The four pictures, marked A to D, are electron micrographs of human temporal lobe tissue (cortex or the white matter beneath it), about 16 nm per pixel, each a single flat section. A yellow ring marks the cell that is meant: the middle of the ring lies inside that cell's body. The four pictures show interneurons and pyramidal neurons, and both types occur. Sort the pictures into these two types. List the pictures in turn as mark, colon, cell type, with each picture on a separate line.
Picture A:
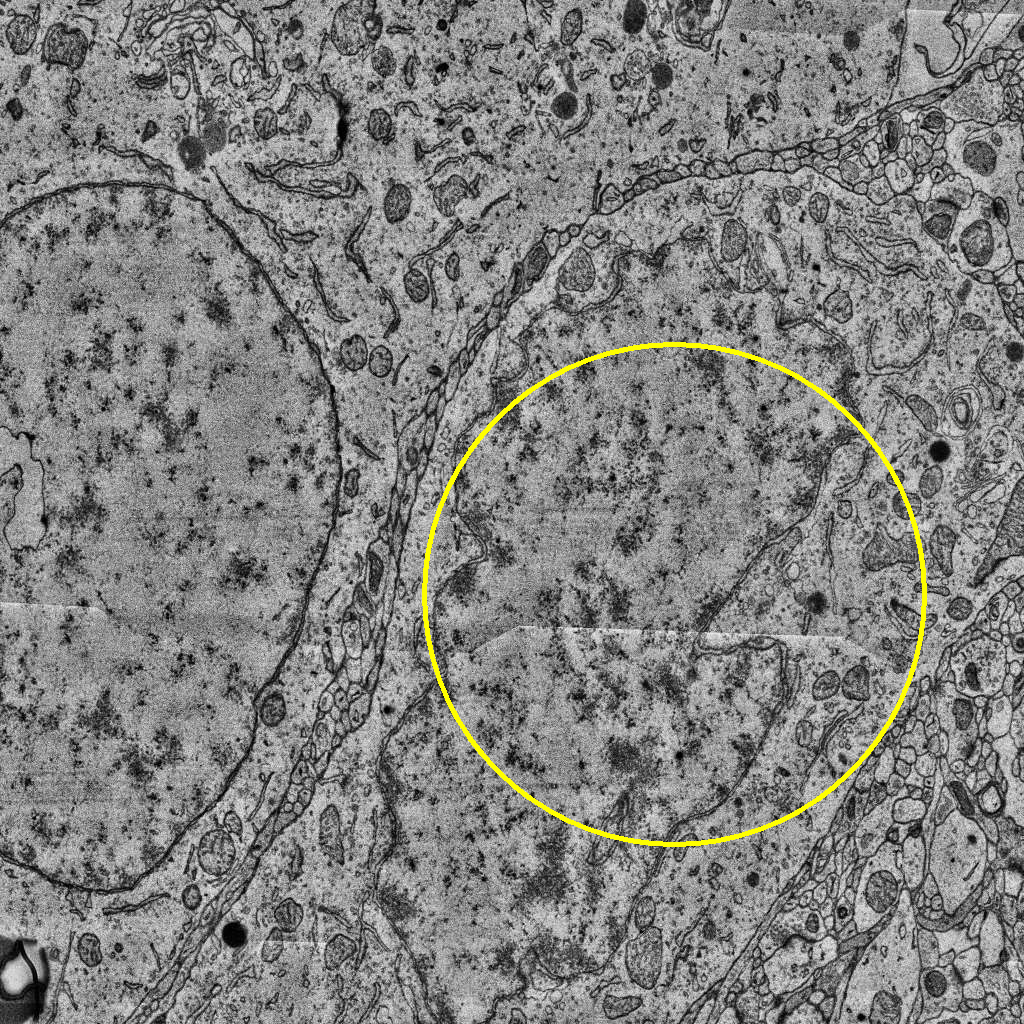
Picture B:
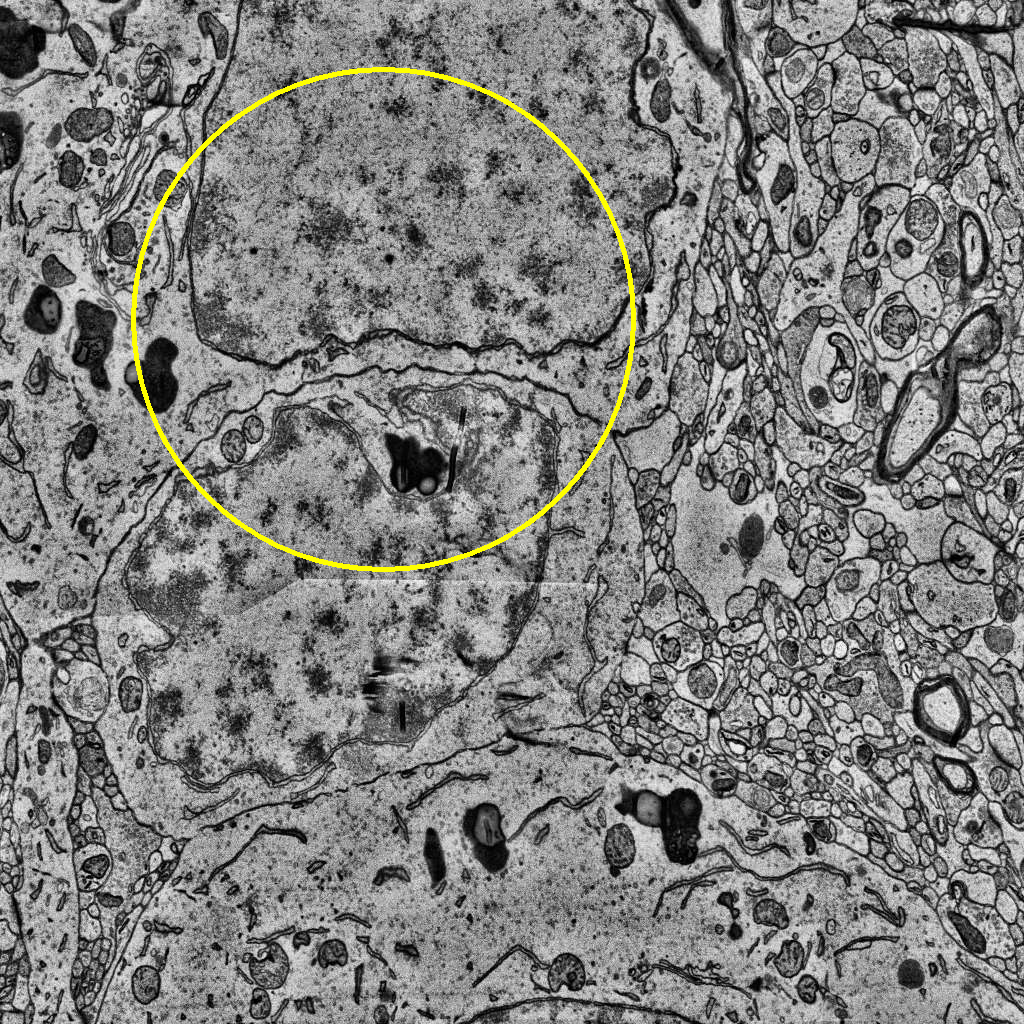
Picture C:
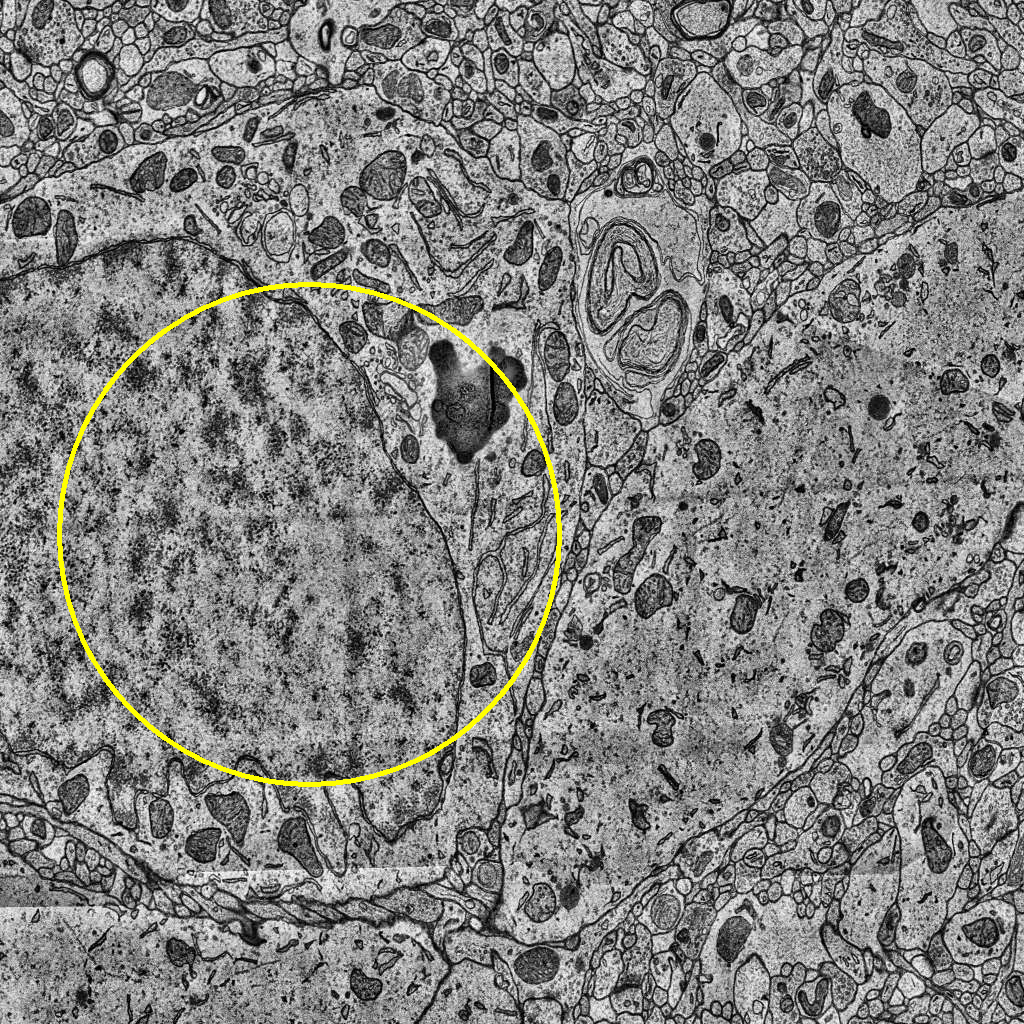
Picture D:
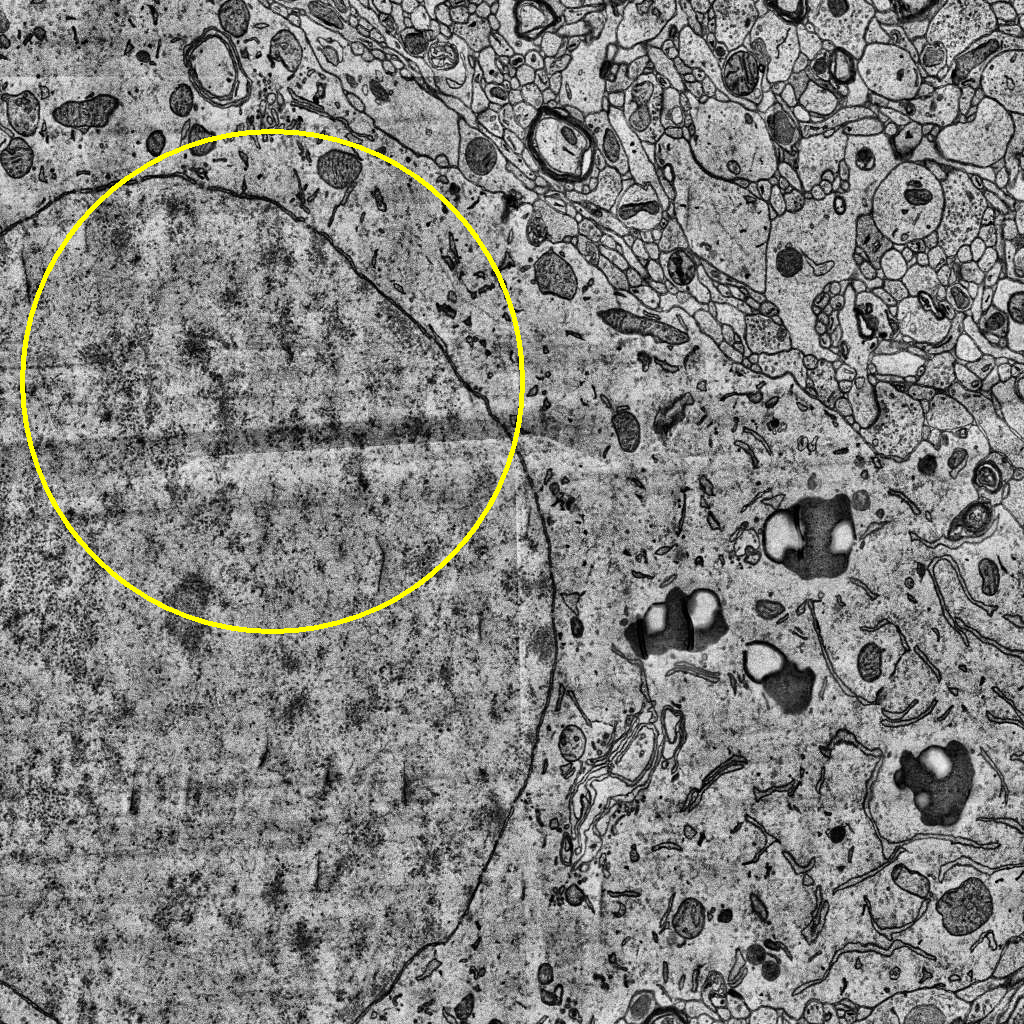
A: interneuron
B: interneuron
C: interneuron
D: pyramidal neuron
